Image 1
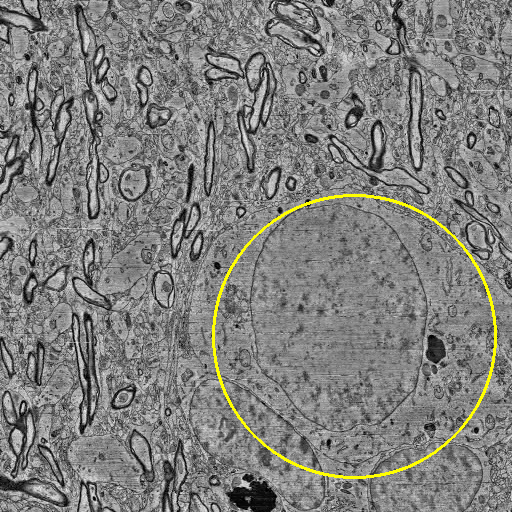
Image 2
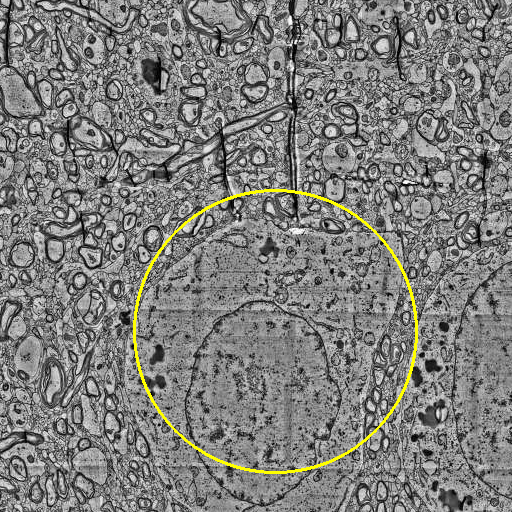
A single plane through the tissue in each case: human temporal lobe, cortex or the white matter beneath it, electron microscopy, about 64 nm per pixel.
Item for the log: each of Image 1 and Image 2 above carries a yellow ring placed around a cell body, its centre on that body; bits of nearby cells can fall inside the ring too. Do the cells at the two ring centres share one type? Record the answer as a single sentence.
Yes, the two cells at the ring centres in Image 1 and Image 2 share one type.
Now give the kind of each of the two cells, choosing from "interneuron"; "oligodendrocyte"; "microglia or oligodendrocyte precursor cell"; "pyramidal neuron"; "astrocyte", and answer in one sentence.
The cell in the first picture is a pyramidal neuron, and so is the one in the second.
